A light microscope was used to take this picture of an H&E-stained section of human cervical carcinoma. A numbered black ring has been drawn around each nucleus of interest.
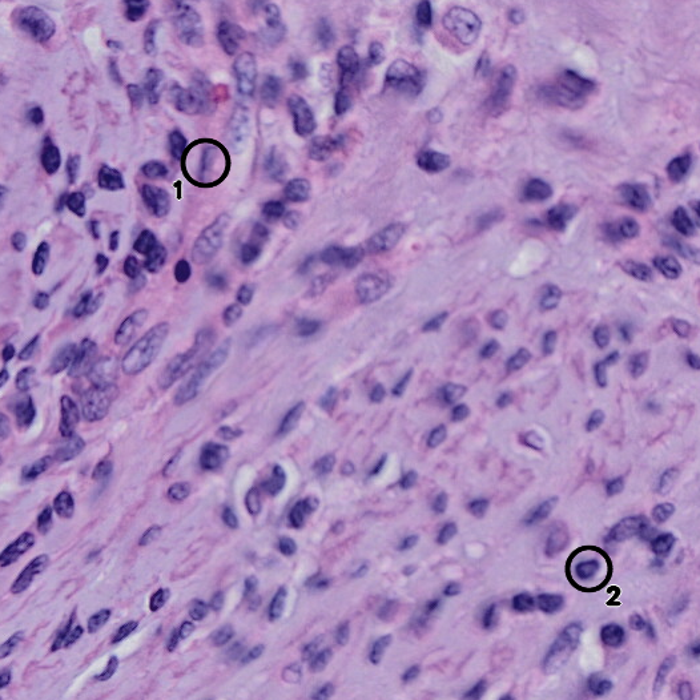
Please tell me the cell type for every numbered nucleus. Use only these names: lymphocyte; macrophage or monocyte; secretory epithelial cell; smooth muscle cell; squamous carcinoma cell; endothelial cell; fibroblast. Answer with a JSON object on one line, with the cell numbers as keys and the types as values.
{"1": "endothelial cell", "2": "lymphocyte"}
